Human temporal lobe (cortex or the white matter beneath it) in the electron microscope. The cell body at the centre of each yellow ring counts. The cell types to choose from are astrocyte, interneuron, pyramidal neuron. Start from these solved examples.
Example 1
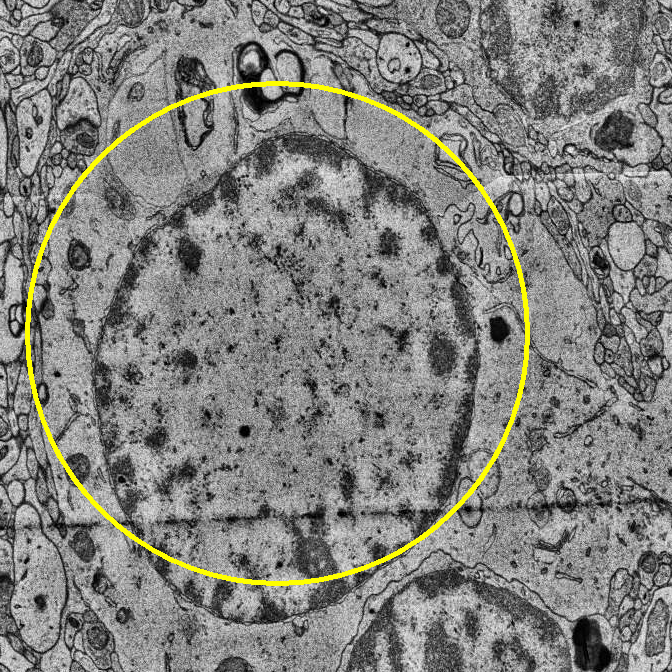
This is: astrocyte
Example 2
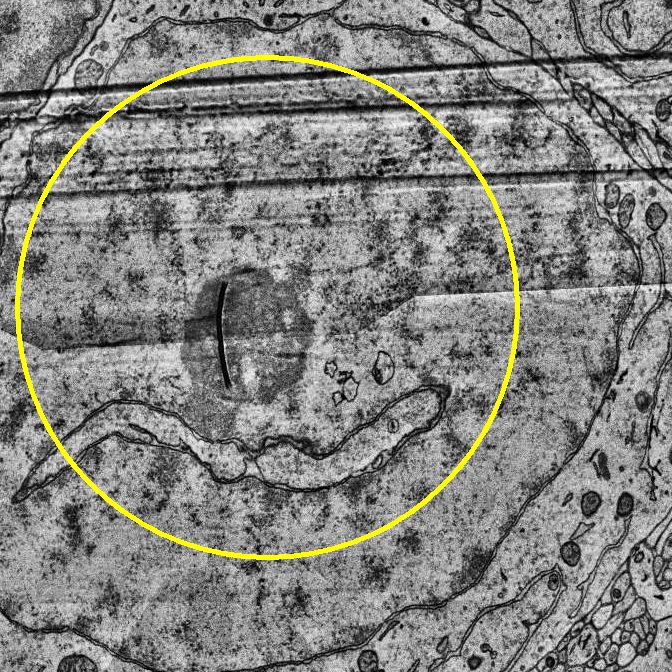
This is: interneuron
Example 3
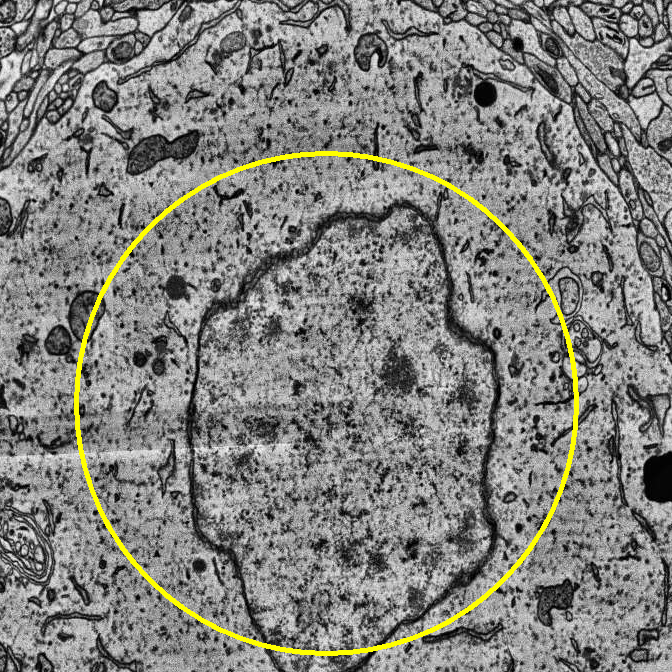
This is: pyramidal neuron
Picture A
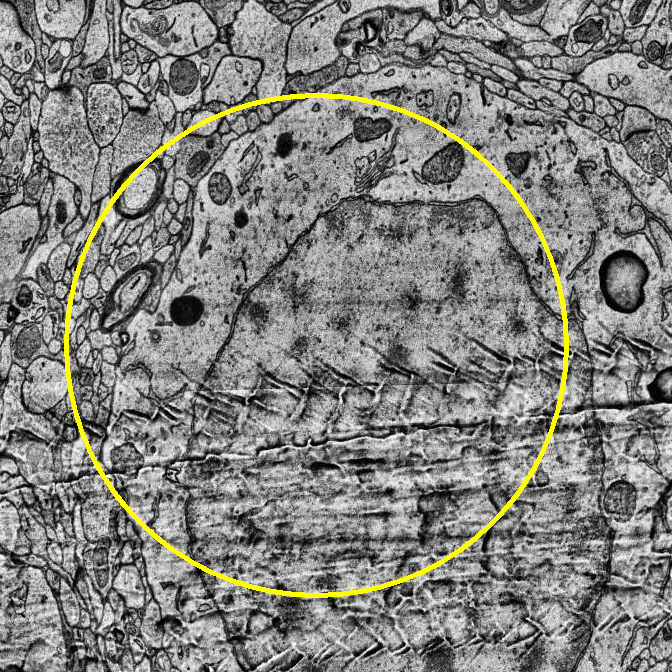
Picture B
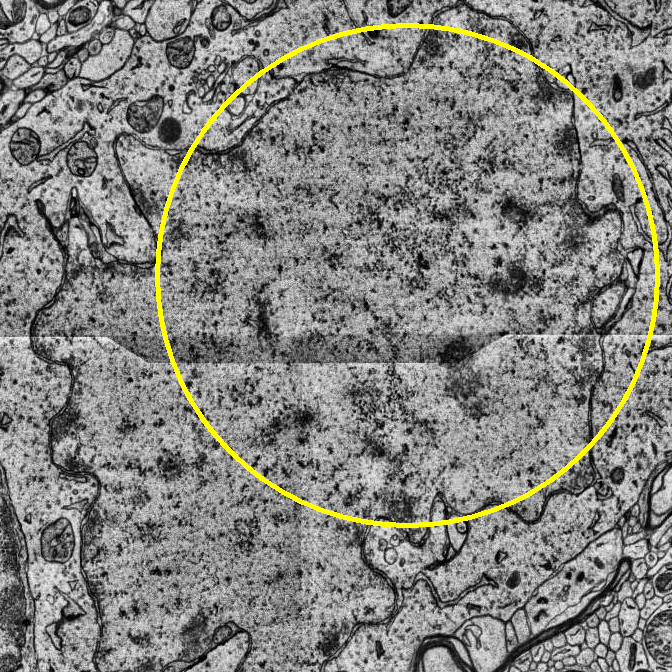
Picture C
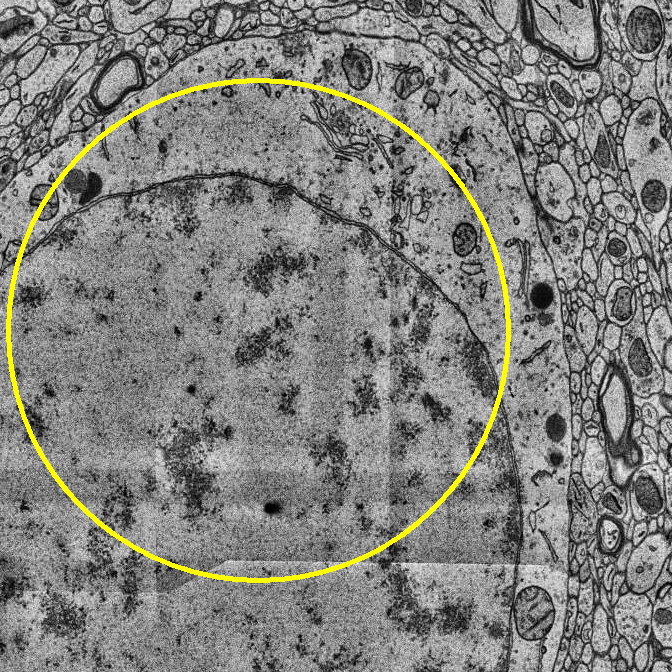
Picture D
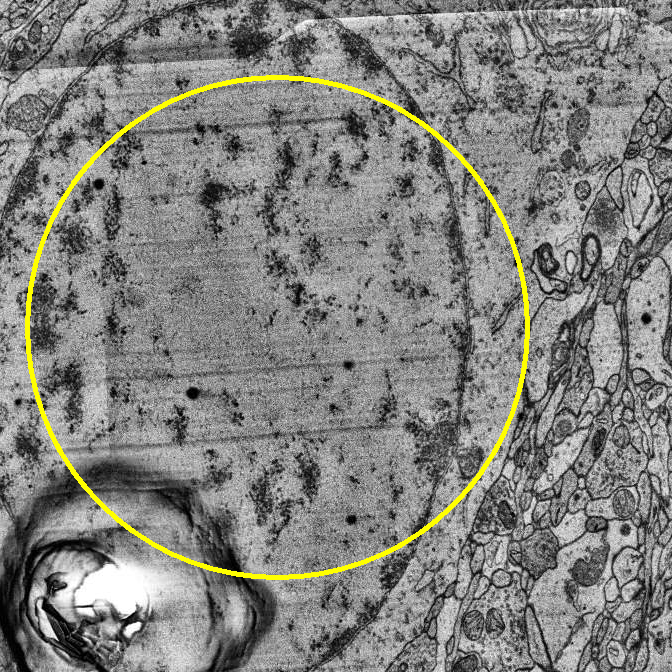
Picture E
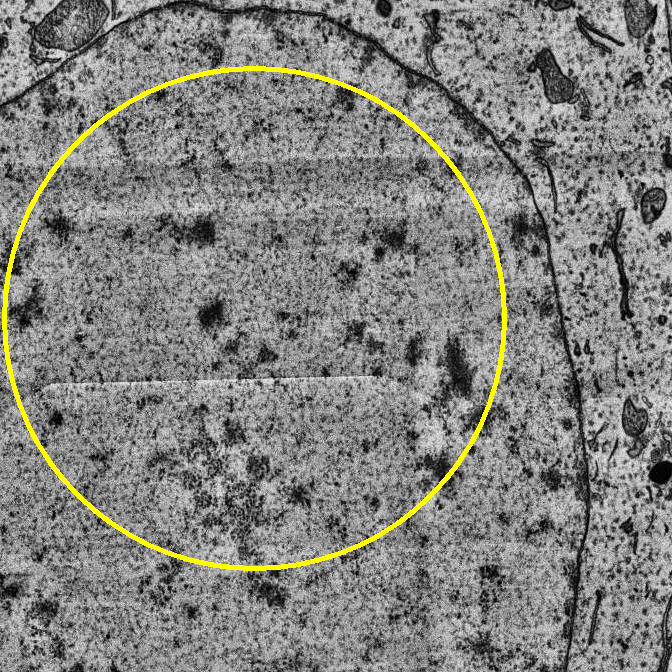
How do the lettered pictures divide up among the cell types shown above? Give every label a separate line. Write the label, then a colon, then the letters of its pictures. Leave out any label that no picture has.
interneuron: B
pyramidal neuron: A, C, D, E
